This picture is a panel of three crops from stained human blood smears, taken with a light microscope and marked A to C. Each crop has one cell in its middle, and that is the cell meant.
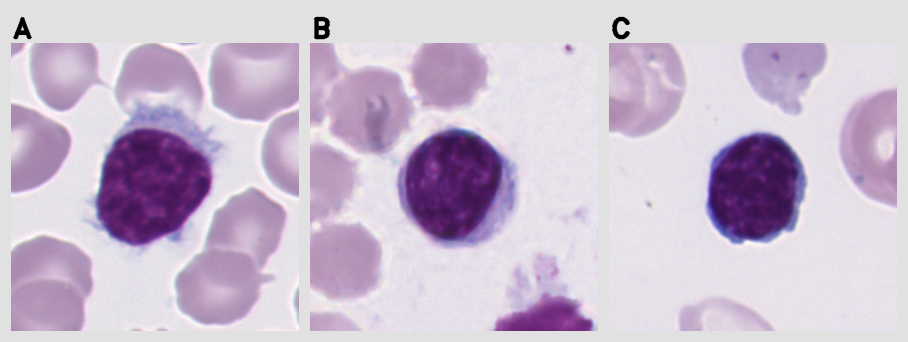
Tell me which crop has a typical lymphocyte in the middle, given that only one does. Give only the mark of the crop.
C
